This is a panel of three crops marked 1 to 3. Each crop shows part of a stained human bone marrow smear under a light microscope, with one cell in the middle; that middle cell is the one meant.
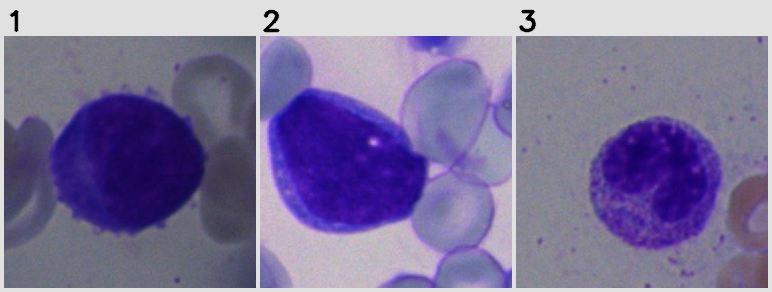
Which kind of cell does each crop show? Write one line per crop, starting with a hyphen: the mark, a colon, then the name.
- 1: blast
- 2: blast
- 3: band neutrophil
